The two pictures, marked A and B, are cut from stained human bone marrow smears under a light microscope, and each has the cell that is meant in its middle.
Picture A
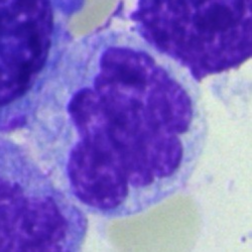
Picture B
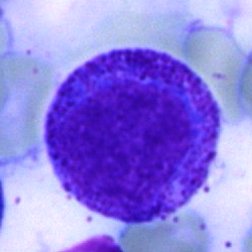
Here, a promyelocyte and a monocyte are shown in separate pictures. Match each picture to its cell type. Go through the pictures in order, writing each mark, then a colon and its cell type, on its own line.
A: monocyte
B: promyelocyte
